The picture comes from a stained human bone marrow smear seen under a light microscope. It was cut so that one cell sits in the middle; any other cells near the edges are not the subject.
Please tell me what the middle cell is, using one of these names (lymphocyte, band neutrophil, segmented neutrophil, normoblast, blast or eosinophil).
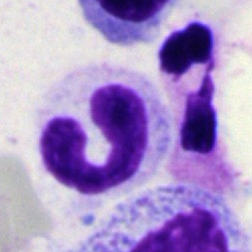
segmented neutrophil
